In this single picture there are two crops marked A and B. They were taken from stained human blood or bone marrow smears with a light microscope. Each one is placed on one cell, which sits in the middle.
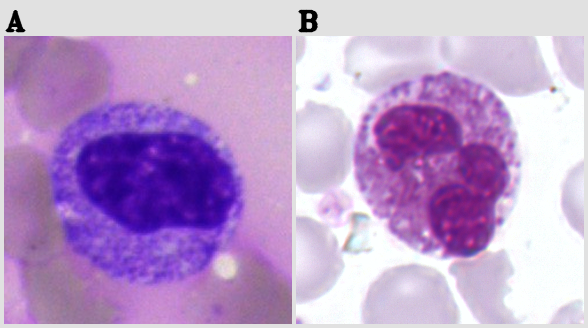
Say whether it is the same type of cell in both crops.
no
